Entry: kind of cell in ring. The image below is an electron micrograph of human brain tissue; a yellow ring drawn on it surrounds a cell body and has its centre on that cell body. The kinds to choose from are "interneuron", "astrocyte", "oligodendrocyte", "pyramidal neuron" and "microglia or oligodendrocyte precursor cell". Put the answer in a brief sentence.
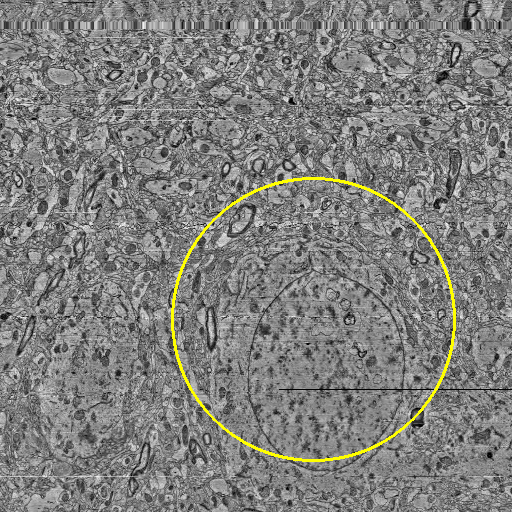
The ring has been drawn around a pyramidal neuron.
